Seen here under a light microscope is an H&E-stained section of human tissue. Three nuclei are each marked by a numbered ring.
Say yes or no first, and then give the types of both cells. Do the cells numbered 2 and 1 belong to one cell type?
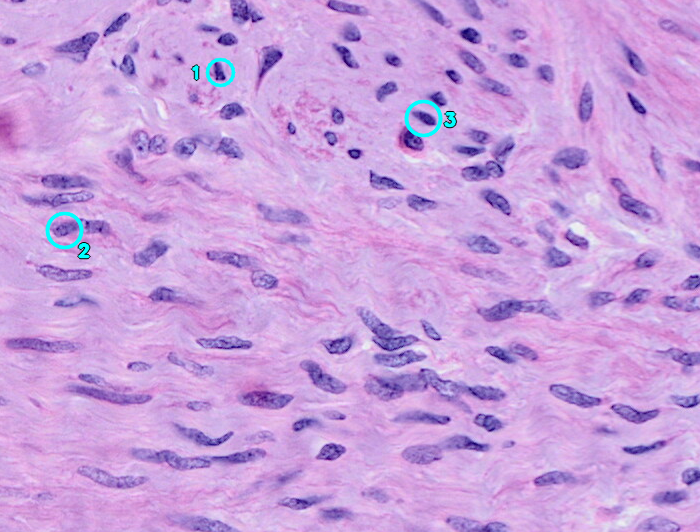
No, what is marked as cell 2 is a smooth muscle cell, and what is marked as cell 1 is a fibroblast.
